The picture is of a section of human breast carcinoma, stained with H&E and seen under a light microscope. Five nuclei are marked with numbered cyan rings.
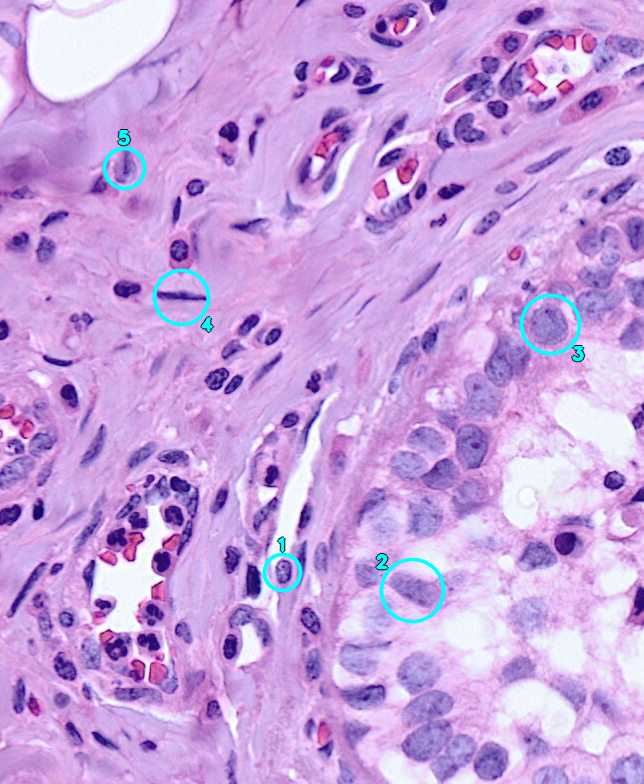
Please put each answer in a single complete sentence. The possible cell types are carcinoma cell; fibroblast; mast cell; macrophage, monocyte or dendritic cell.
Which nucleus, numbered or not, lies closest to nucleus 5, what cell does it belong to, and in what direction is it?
The nearest one is a mast cell, found below and to the left of nucleus 5.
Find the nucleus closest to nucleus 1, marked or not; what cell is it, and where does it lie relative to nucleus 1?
The nearest one is a fibroblast, found above and to the right of nucleus 1.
